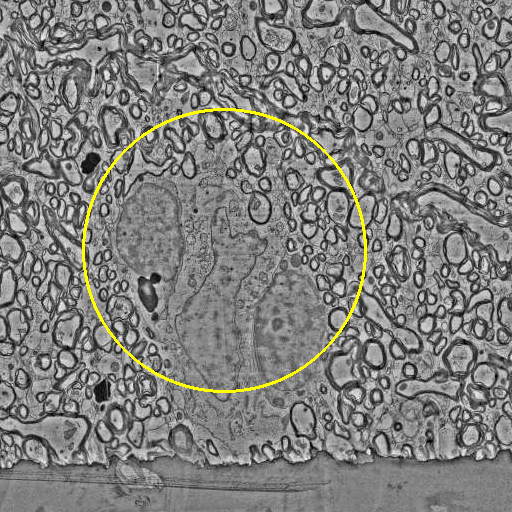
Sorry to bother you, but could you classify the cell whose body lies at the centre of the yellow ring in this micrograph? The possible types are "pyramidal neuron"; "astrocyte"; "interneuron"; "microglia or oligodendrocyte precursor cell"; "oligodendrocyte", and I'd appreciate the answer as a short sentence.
The ringed cell body is that of a pyramidal neuron.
